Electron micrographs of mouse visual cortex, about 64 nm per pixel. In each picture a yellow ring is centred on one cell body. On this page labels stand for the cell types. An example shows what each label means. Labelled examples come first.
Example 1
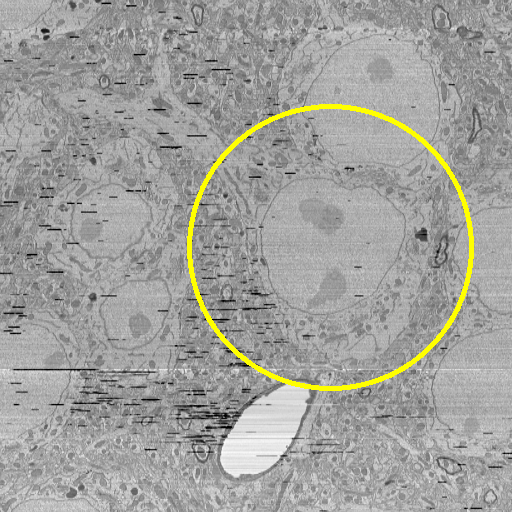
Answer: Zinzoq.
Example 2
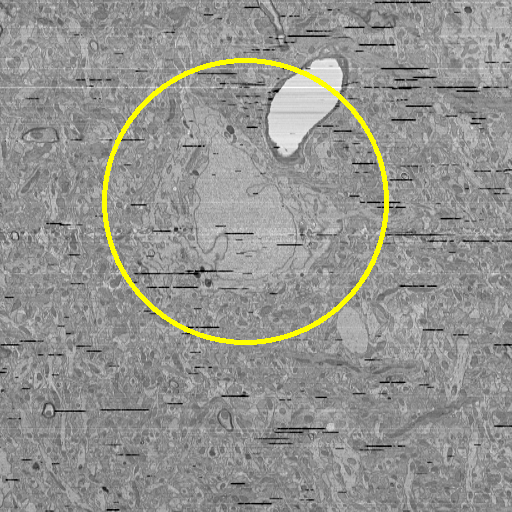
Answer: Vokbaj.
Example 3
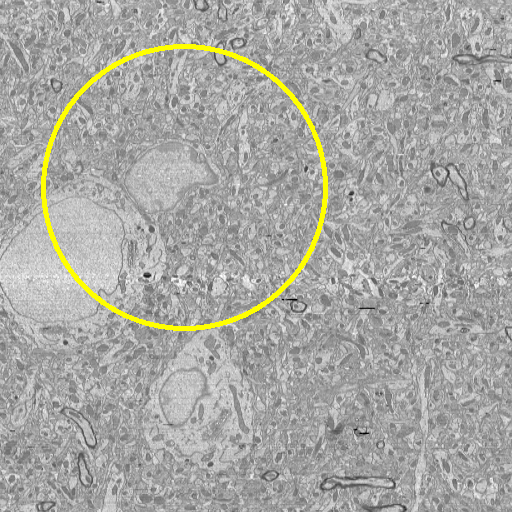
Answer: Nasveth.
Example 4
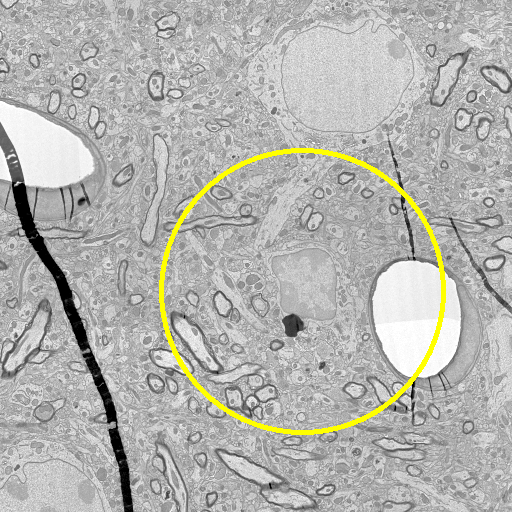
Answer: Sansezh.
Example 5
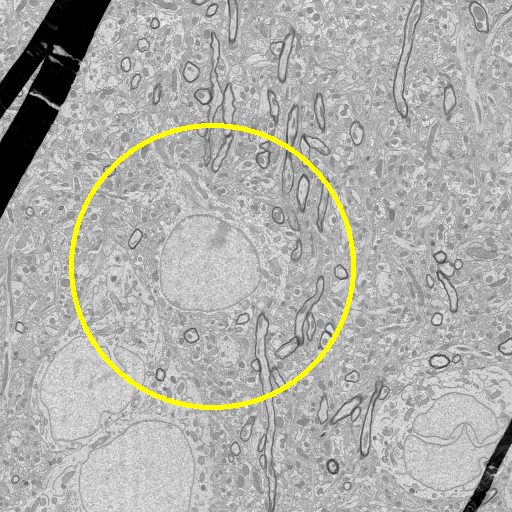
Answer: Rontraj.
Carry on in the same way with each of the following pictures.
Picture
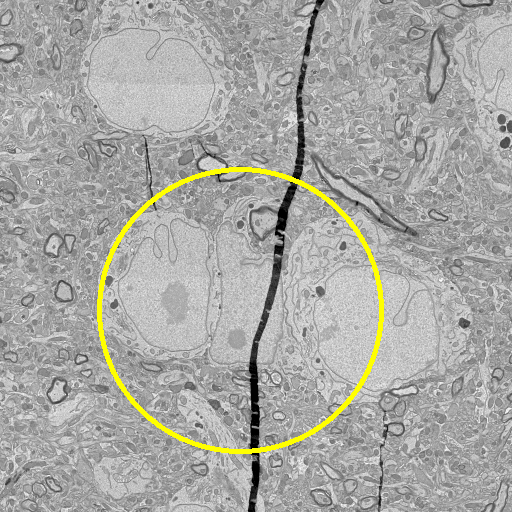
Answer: Nasveth.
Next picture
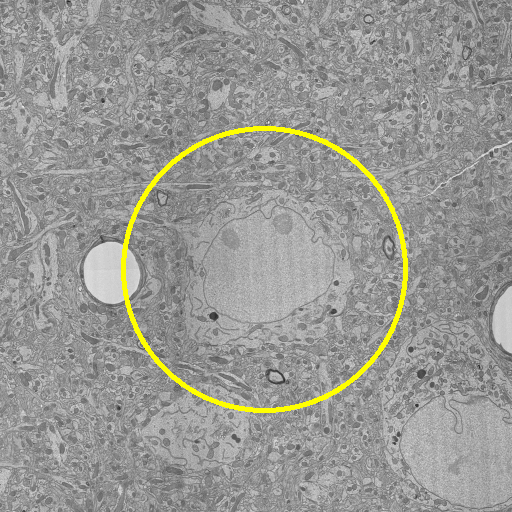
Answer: Zinzoq.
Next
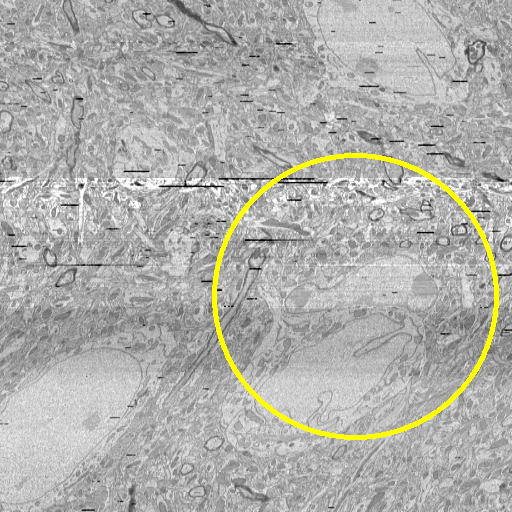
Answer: Nasveth.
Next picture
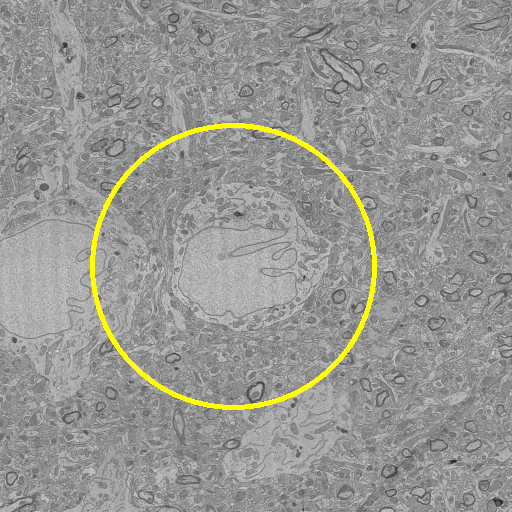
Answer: Vokbaj.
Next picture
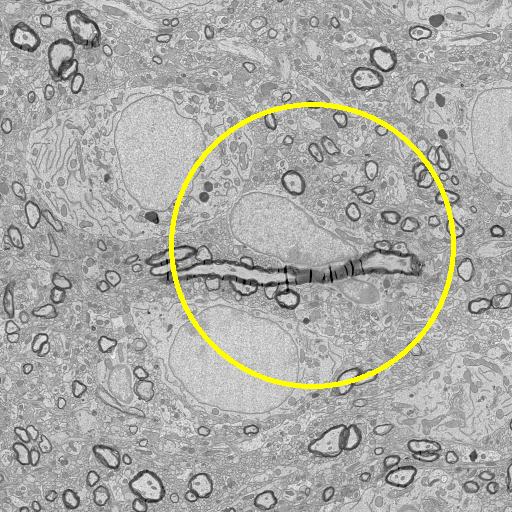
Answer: Nasveth.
